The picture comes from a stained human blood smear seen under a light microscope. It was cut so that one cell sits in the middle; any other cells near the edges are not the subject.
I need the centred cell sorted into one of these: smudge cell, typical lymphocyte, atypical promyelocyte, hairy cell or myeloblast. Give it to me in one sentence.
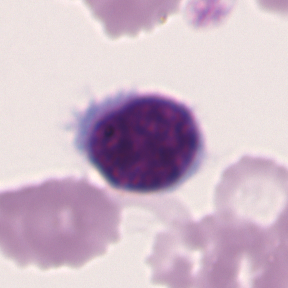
In the middle of this smear crop is a hairy cell.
